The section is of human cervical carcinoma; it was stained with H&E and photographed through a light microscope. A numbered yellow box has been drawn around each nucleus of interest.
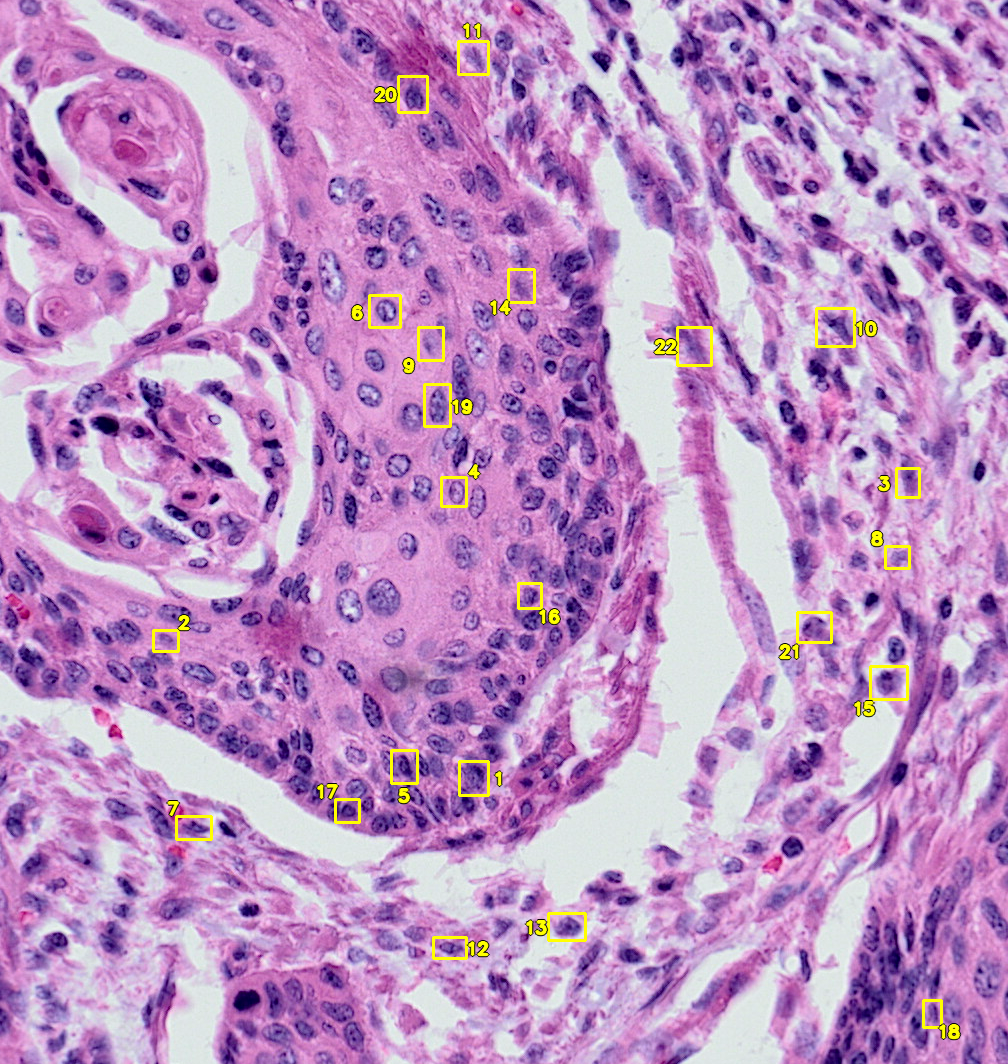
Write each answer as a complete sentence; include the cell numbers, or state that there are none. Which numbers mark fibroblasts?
Cells 3, 8, 10, 11, 12 and 22 in the section are typed as fibroblasts.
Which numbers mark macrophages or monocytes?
The cells tagged 13, 15 and 21 are macrophages or monocytes in this tissue section.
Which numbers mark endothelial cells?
Among the numbered nuclei, only the one labelled 7 belongs to an endothelial cell.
